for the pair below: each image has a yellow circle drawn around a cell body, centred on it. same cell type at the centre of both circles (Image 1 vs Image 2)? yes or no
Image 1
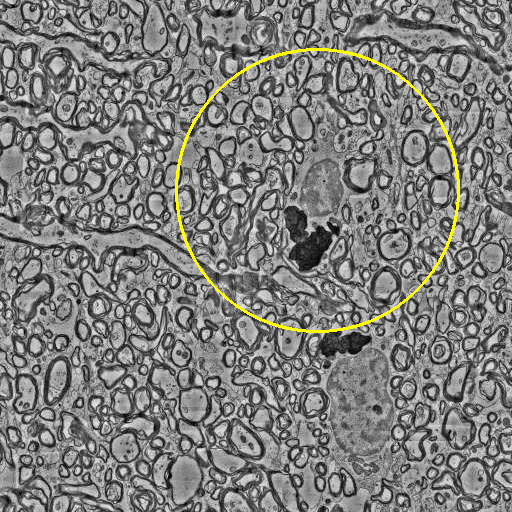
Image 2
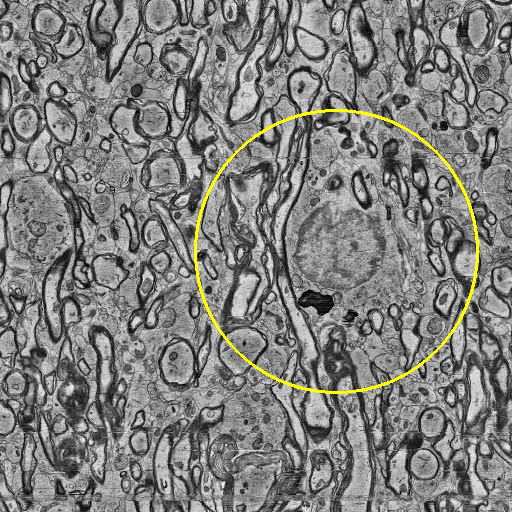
yes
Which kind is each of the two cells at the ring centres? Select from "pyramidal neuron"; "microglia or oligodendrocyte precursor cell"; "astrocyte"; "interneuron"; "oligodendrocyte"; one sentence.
In each of the two pictures, the ringed cell is an oligodendrocyte.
